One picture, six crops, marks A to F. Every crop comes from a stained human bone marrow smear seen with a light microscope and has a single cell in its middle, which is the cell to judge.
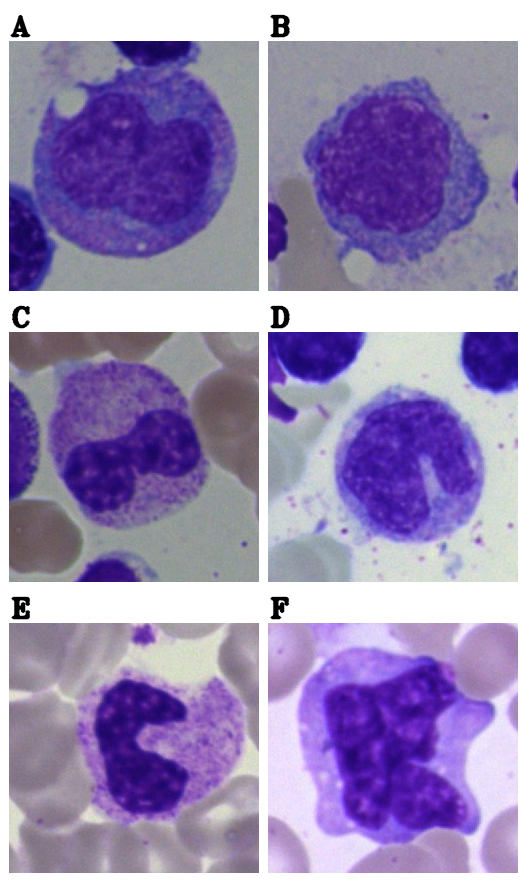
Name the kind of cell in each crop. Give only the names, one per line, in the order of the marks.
monocyte
monocyte
band neutrophil
monocyte
band neutrophil
monocyte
